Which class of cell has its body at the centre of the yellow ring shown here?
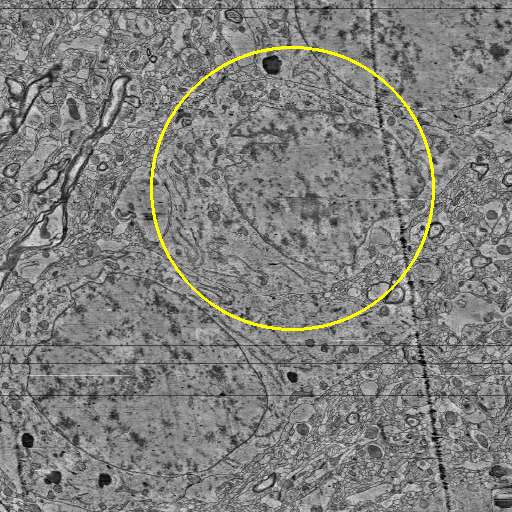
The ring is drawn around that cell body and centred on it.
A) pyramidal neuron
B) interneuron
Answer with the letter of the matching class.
B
